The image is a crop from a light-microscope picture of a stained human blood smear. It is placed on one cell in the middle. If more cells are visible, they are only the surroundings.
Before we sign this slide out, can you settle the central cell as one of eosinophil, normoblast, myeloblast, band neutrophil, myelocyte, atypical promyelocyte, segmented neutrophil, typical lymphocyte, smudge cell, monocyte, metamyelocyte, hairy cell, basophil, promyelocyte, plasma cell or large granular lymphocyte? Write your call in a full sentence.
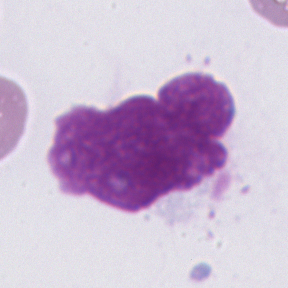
Occupying the centre of the crop is a smudge cell.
